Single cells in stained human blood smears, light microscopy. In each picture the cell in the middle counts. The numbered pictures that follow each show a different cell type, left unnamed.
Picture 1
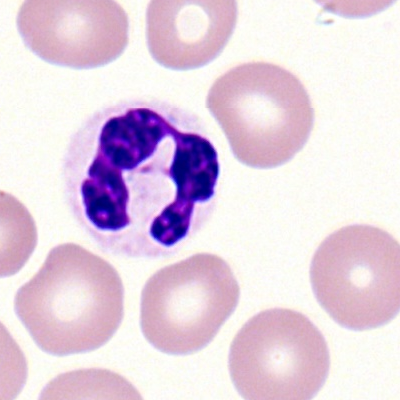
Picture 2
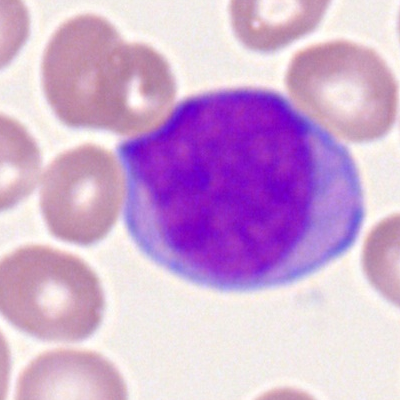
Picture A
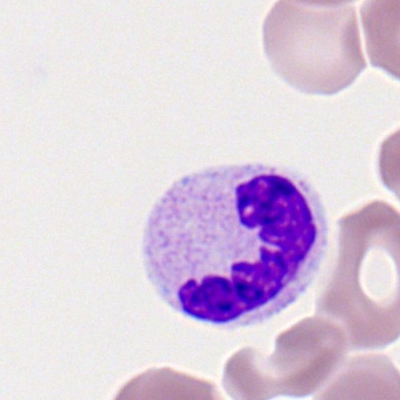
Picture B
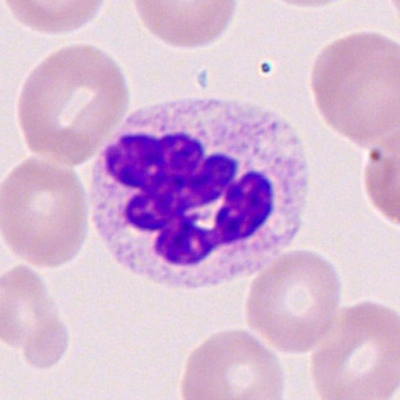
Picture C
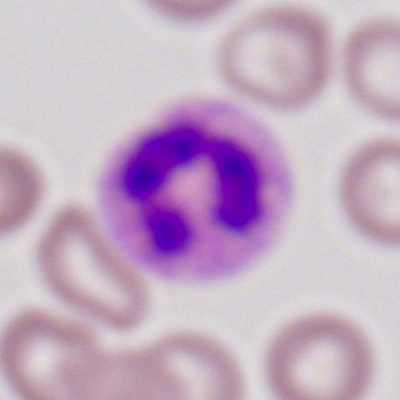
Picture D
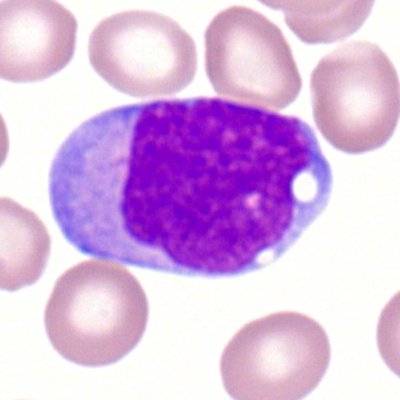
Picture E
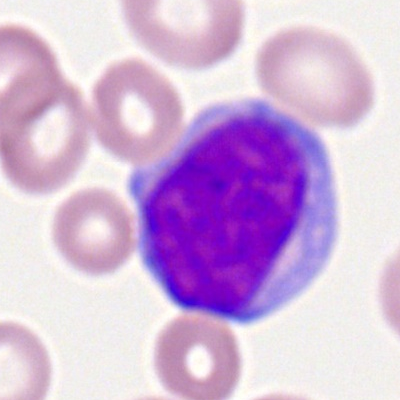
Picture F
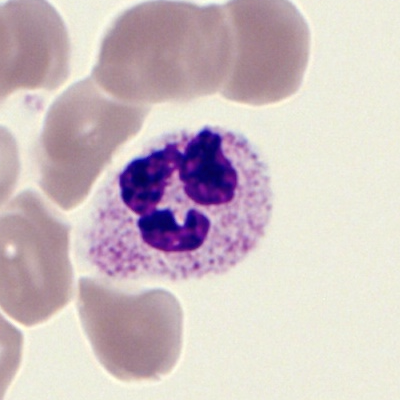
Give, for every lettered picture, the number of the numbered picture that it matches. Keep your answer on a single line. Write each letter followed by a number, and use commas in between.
A 1, B 1, C 1, D 2, E 2, F 1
